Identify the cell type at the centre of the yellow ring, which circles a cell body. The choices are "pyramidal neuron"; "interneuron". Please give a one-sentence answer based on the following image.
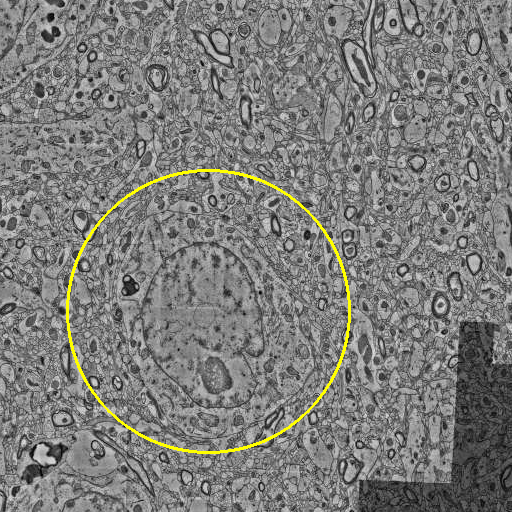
The cell marked by the ring is a pyramidal neuron.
